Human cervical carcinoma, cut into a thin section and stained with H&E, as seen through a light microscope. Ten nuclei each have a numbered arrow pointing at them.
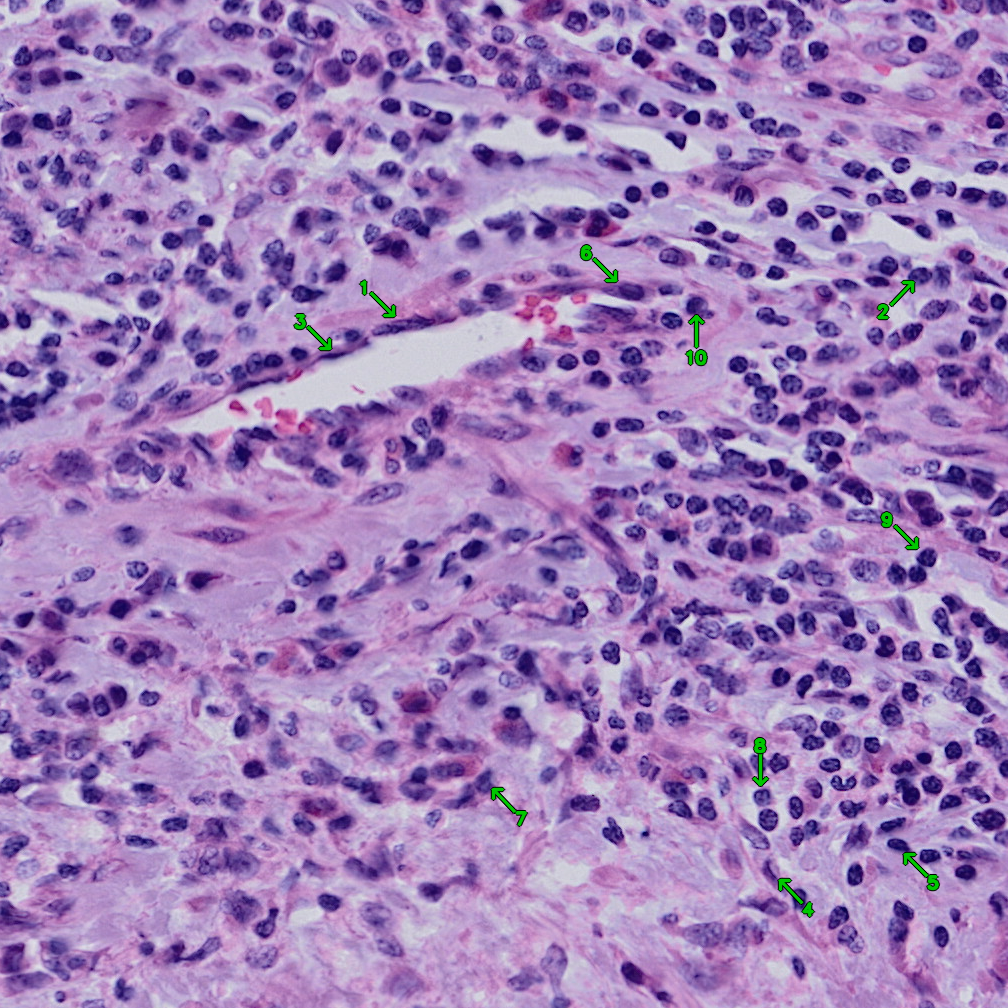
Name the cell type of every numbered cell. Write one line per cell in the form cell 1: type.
cell 1: endothelial cell
cell 2: lymphocyte
cell 3: endothelial cell
cell 4: macrophage or monocyte
cell 5: lymphocyte
cell 6: endothelial cell
cell 7: lymphocyte
cell 8: lymphocyte
cell 9: lymphocyte
cell 10: lymphocyte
